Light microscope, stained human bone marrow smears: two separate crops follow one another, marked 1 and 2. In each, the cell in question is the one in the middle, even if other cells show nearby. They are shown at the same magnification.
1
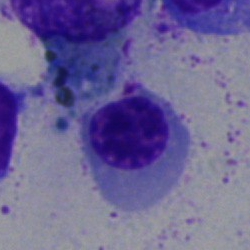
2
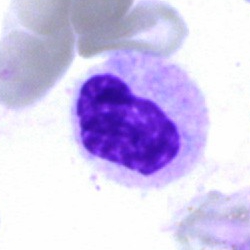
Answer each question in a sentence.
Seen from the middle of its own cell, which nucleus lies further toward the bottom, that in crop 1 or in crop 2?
In crop 2 the nucleus is shifted more toward the bottom.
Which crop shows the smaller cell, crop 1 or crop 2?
It is the cell in crop 1; the cell in crop 2 has about 1.5 times its area.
